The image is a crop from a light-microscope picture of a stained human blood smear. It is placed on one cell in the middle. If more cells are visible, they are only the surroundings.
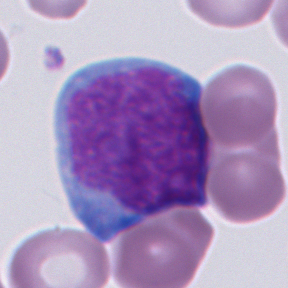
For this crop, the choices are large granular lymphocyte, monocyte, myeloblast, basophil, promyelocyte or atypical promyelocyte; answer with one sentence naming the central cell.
The crop centres on a single cell, and that cell is a myeloblast.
